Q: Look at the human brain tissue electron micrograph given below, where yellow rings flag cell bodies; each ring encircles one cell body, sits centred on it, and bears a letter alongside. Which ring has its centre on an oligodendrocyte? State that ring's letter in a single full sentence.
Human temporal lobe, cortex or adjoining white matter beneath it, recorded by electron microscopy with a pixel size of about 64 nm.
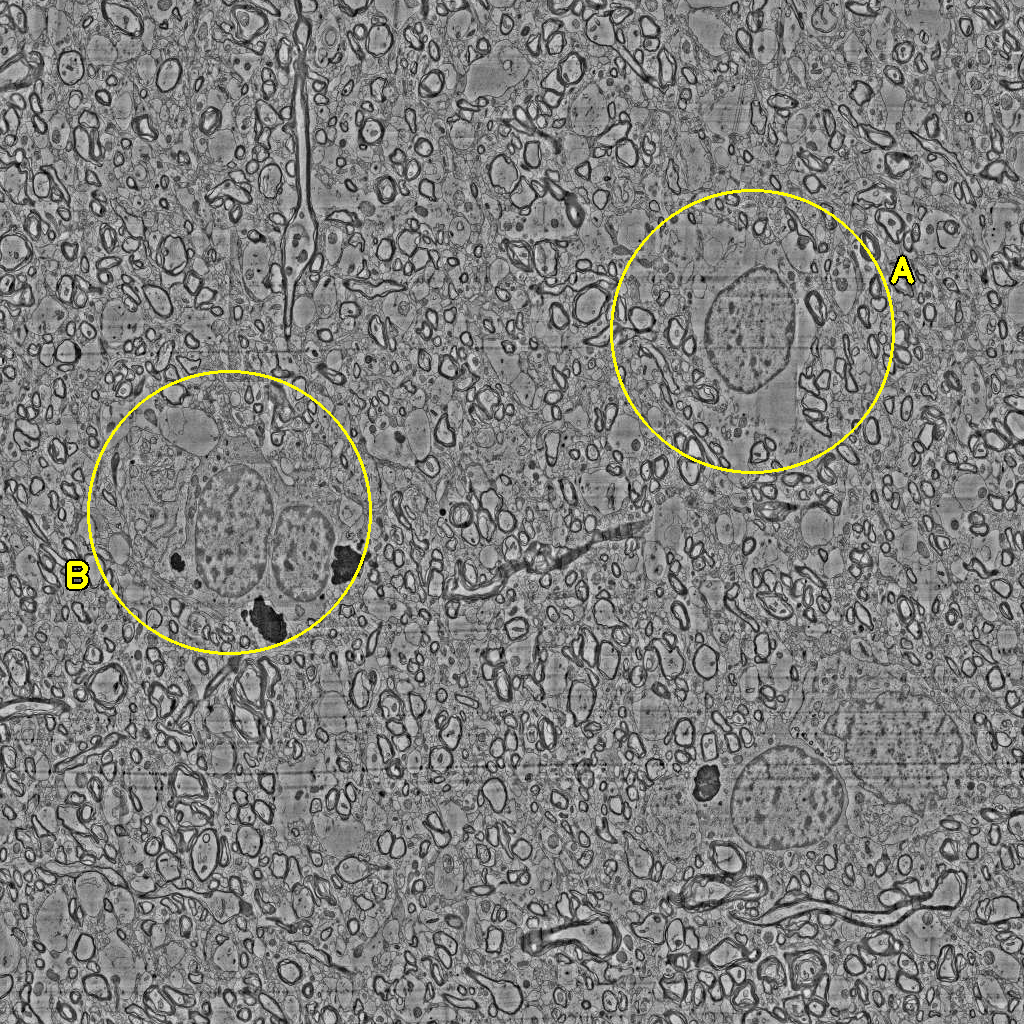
In the picture, the cell of that kind sits at the centre of ring B.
